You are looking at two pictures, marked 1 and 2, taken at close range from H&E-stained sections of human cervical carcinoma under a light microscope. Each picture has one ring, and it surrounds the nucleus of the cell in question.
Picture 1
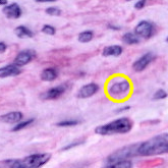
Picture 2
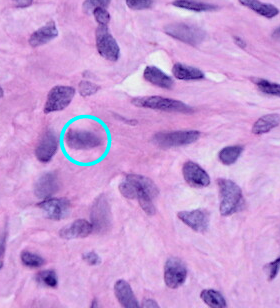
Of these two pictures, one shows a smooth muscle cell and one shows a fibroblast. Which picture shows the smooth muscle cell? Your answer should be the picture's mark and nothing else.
1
